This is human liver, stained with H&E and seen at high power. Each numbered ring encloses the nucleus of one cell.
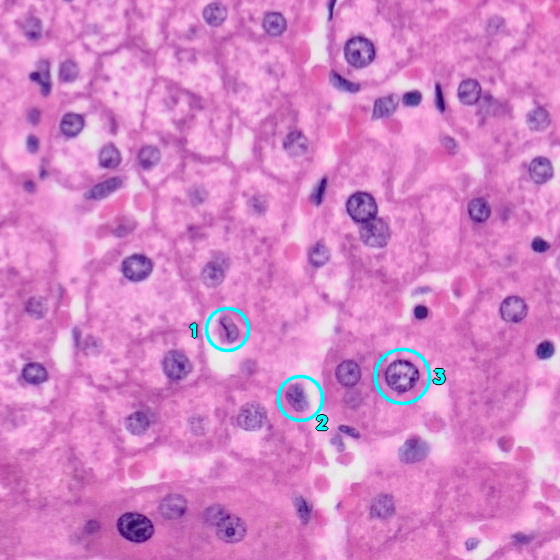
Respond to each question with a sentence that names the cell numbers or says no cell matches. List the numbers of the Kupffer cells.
The cell labelled 1 is a Kupffer cell, while the remaining numbered cells are not.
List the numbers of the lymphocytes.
Among the cells marked by numbers, there are no lymphocytes.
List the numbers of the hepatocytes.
No marked cell except number 3 is a hepatocyte.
